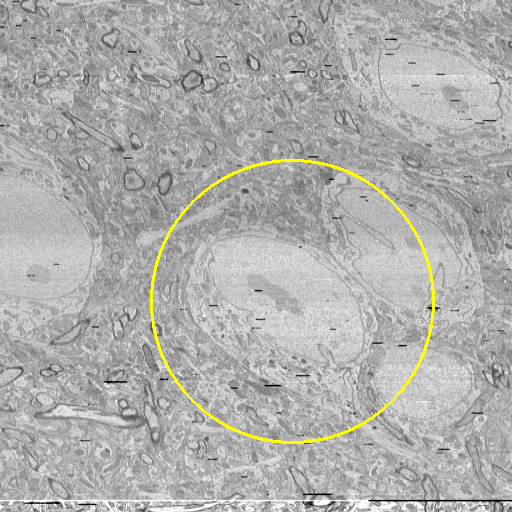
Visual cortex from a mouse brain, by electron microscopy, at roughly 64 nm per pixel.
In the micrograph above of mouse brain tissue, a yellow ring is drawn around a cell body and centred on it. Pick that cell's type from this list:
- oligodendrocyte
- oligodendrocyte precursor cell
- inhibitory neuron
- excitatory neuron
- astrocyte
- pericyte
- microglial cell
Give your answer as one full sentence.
Going by the list, an inhibitory neuron is the cell on which the yellow ring is centred.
